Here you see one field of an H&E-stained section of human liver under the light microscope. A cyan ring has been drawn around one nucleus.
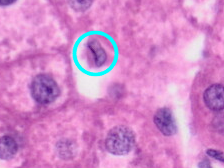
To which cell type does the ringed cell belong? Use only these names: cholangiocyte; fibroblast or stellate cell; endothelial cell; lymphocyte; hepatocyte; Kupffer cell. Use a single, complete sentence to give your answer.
To be brief about it, the ringed cell is a Kupffer cell.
